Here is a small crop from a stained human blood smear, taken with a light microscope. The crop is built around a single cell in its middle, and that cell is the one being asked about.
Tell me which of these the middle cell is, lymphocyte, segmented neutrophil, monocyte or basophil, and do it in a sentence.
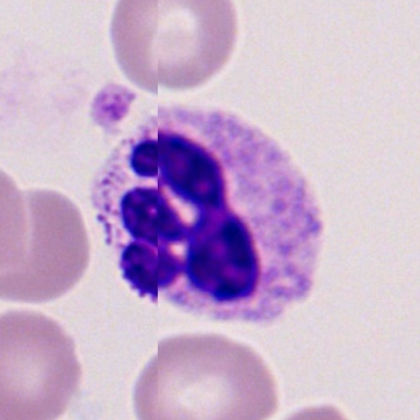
The centrally placed cell is classified as a segmented neutrophil.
